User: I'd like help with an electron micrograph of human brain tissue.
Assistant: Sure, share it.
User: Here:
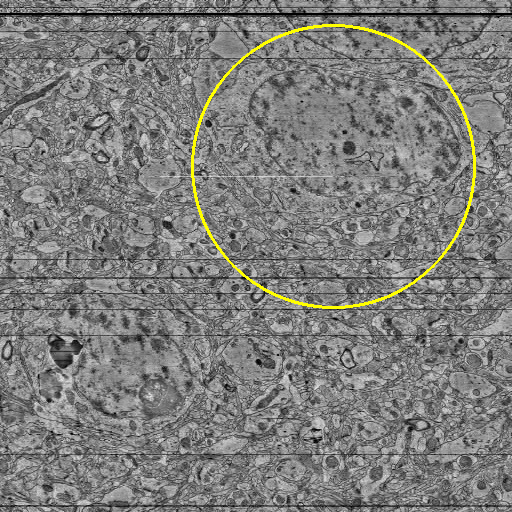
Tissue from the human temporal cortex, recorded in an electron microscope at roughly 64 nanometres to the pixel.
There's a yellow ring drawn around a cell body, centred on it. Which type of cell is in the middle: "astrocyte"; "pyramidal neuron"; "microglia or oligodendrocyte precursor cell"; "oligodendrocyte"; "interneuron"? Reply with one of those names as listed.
interneuron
